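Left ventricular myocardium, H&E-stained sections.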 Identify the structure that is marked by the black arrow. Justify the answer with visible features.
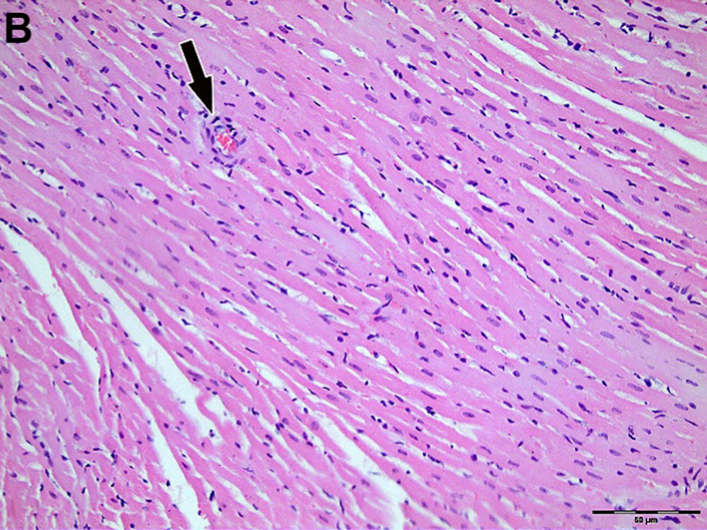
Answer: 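Intramyocardial blood vessels. A small round lumen containing bright red corpuscles lies among the muscle fibres. The lumen is ringed by a few flattened nuclei.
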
